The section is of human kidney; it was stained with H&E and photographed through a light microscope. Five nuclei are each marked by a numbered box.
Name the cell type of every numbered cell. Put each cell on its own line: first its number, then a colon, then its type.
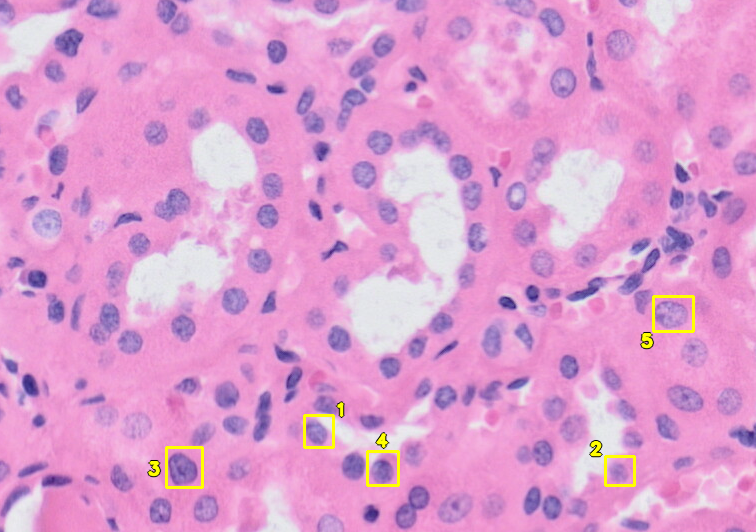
1: loop of Henle or distal tubule cell
2: loop of Henle or distal tubule cell
3: proximal tubule cell
4: loop of Henle or distal tubule cell
5: proximal tubule cell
